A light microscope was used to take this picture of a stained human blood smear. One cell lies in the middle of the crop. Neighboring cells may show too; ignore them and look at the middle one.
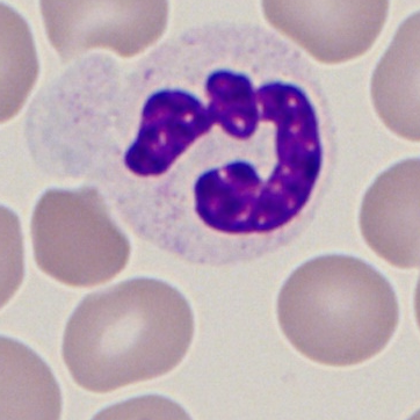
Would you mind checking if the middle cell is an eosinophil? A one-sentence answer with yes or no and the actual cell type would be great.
No, the cell in the middle should be called a segmented neutrophil instead of an eosinophil.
